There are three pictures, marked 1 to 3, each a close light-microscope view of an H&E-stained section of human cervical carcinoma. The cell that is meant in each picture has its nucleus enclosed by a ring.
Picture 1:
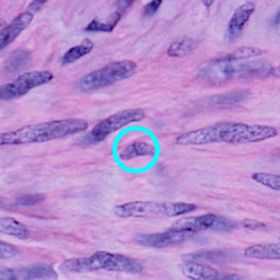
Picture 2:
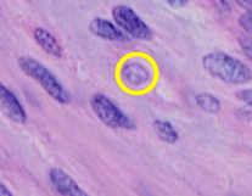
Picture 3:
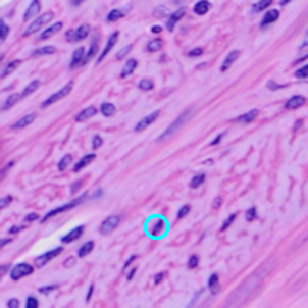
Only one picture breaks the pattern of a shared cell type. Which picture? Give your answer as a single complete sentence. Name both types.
The different one is picture 2; it shows an endothelial cell, whereas all the others show smooth muscle cells.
